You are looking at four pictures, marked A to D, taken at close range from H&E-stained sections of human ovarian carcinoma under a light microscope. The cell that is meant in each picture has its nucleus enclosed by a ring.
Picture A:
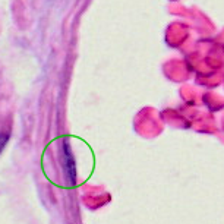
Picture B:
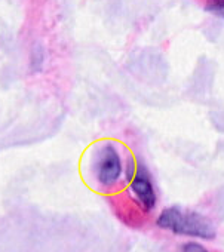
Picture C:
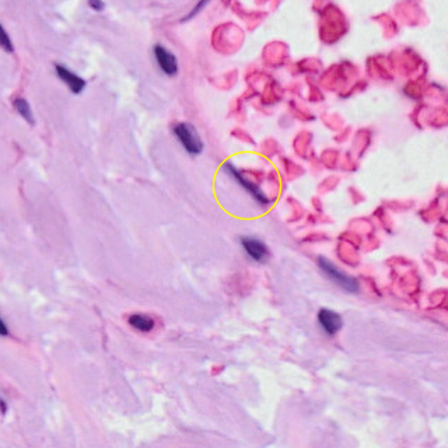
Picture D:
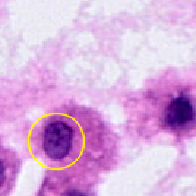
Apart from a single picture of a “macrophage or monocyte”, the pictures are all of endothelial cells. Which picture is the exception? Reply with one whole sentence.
Picture D shows the “macrophage or monocyte”.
